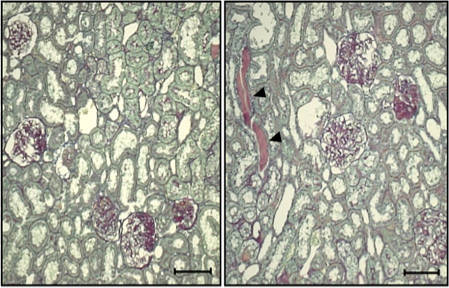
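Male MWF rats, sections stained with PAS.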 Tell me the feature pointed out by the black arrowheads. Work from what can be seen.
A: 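Elongated, homogeneous red-purple material fills the lumen of a tubule. The material follows the shape of the tubule.
Answer: tubular casts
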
